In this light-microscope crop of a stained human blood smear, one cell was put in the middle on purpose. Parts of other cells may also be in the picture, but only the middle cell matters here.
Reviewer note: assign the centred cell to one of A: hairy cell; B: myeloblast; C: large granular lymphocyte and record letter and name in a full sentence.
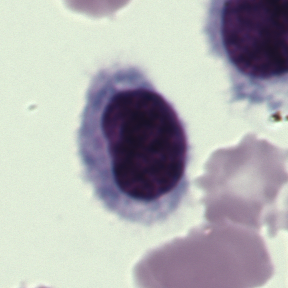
Option A is accurate; the centrally placed cell is a hairy cell.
